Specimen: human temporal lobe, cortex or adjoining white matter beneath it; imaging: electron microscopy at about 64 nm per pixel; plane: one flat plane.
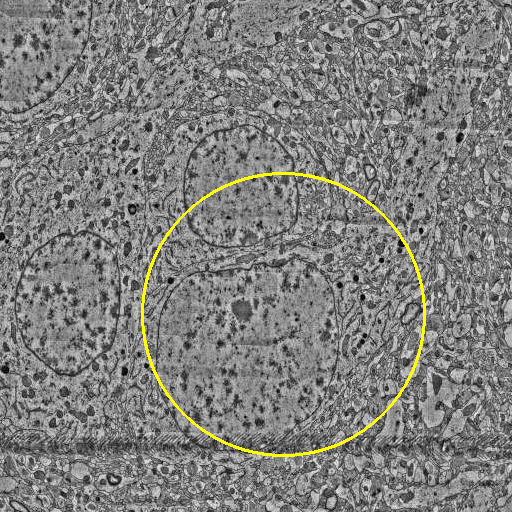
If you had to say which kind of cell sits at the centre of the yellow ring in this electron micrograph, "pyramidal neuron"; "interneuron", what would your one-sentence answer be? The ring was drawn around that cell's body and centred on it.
The cell sitting at the centre of the ring is a pyramidal neuron.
